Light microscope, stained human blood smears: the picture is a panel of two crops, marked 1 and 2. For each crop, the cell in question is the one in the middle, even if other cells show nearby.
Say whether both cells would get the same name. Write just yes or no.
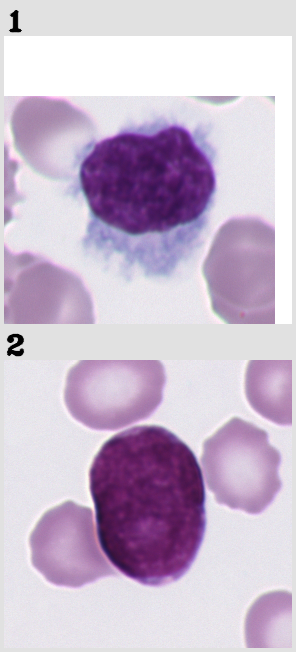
no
